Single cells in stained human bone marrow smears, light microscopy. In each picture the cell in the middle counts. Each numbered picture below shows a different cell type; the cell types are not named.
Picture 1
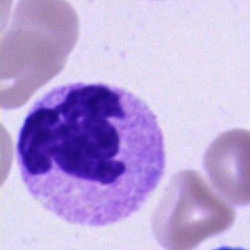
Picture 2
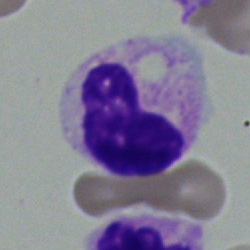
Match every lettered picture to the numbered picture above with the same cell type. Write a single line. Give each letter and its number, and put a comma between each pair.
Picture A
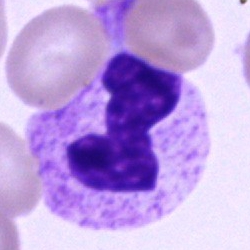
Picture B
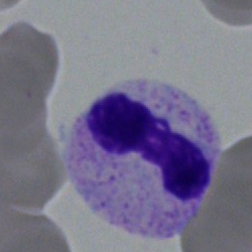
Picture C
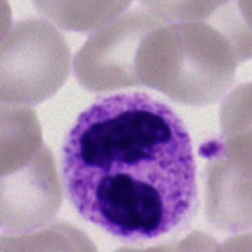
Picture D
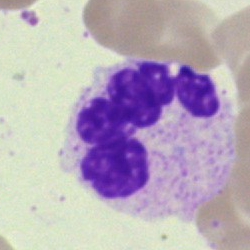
A 1, B 2, C 1, D 1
